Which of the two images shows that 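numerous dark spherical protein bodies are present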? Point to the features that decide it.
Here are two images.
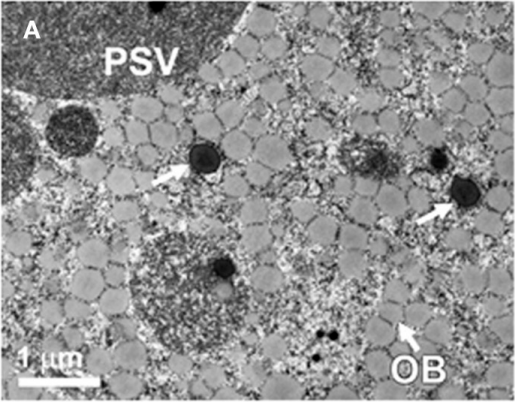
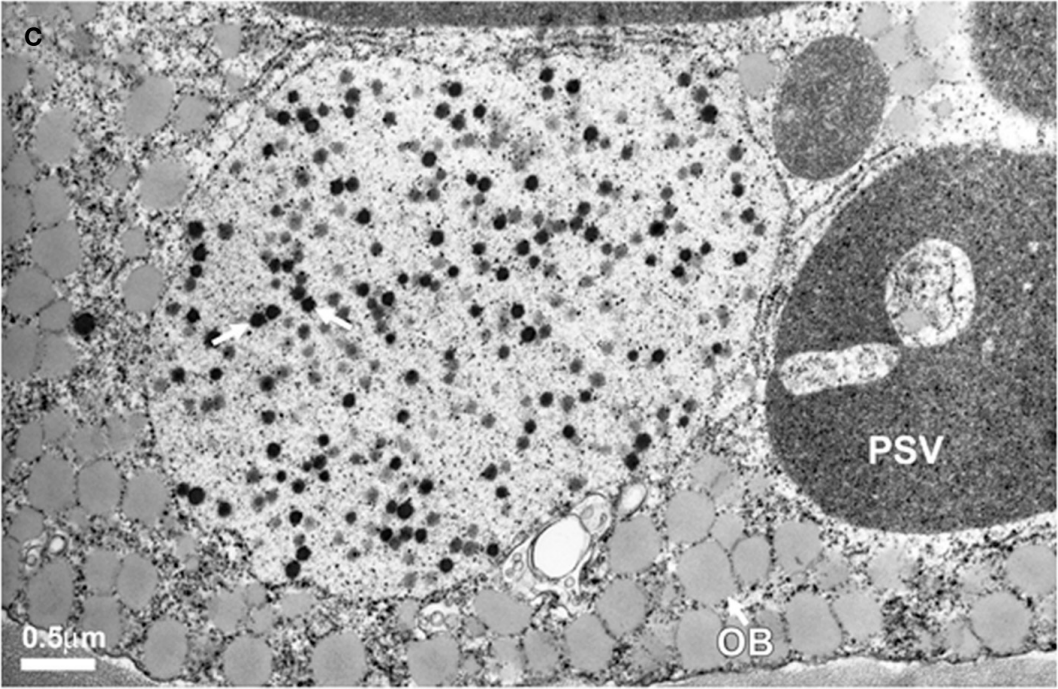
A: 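Second image: over a hundred small dark round bodies fill a large pale region. First image: only a handful of dark round bodies lie among the oil bodies. On this evidence: the second image.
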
